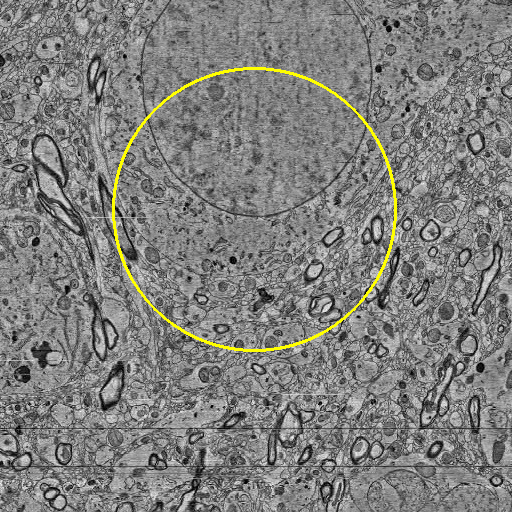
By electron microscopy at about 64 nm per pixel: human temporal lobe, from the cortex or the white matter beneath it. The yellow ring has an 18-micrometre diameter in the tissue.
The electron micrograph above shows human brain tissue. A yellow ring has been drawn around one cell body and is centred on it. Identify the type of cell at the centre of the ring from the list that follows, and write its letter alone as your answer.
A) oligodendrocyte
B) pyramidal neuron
B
